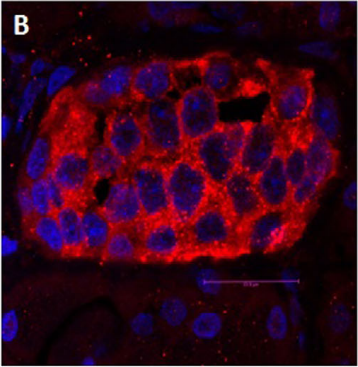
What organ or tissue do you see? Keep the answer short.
Islets.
